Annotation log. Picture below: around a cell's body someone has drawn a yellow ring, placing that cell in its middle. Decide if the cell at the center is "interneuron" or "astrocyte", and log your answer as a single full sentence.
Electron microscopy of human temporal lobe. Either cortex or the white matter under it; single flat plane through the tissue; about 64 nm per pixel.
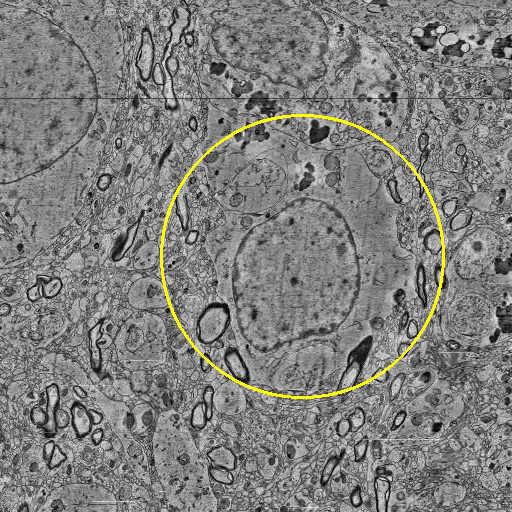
My entry records an astrocyte as the cell sitting at the center of the yellow ring.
